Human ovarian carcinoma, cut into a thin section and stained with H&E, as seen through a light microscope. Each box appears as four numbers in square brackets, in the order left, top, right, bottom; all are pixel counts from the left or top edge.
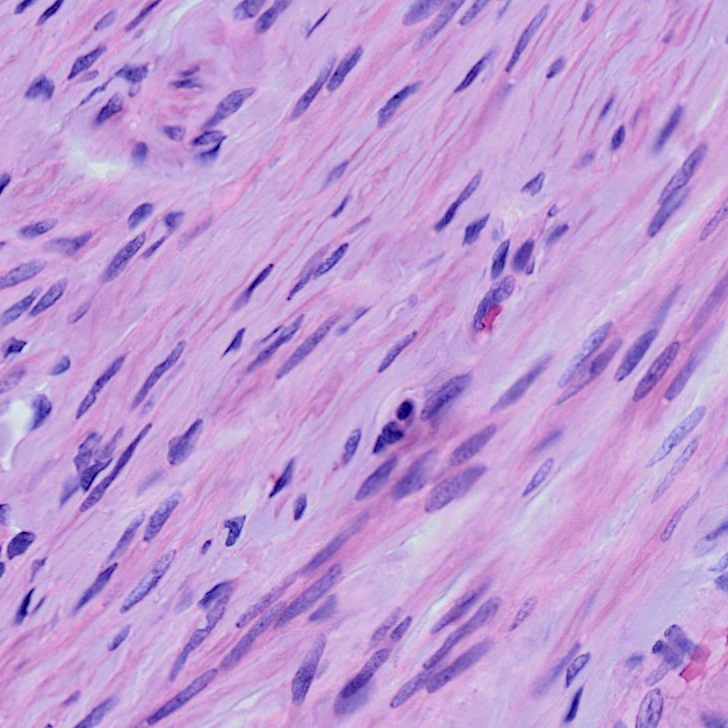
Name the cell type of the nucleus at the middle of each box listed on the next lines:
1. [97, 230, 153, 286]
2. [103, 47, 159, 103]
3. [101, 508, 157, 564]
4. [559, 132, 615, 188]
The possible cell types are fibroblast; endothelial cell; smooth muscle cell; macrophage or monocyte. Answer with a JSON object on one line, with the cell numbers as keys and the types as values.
{"1": "smooth muscle cell", "2": "fibroblast", "3": "smooth muscle cell", "4": "smooth muscle cell"}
